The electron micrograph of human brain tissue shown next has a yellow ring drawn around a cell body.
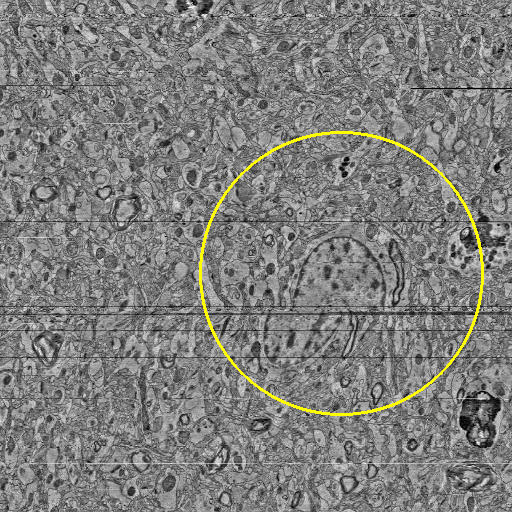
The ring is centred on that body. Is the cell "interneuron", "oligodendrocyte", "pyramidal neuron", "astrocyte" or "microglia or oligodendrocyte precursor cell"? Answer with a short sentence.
The cell in question is an astrocyte.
